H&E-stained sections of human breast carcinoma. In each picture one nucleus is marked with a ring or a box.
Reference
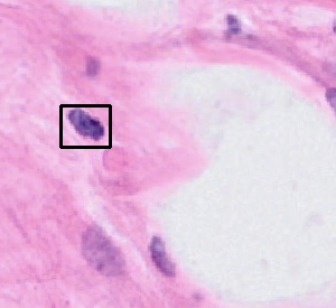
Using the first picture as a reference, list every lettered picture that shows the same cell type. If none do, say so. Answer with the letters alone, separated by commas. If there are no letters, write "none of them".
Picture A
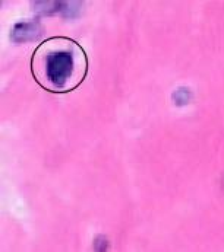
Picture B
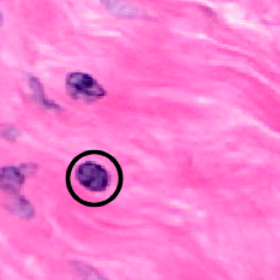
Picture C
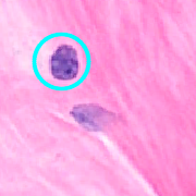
A, B, C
